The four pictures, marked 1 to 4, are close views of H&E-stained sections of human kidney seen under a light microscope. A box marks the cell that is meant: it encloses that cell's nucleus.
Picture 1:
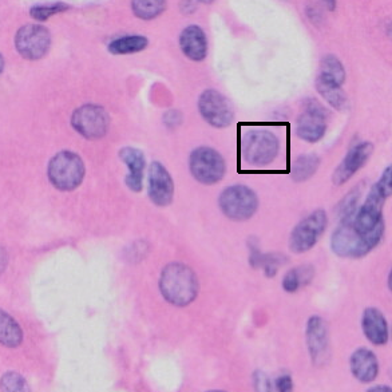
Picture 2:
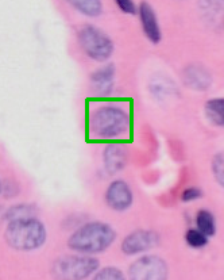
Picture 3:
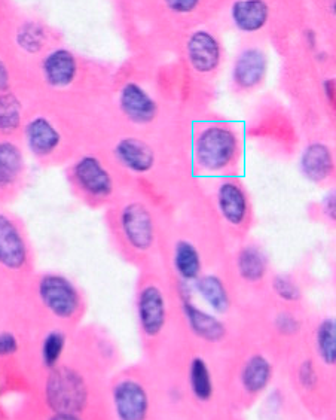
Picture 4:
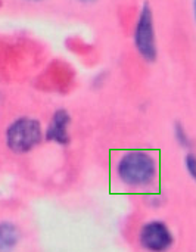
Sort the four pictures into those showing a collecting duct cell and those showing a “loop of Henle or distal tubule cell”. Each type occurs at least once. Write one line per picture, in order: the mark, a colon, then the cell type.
1: collecting duct cell
2: collecting duct cell
3: loop of Henle or distal tubule cell
4: loop of Henle or distal tubule cell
